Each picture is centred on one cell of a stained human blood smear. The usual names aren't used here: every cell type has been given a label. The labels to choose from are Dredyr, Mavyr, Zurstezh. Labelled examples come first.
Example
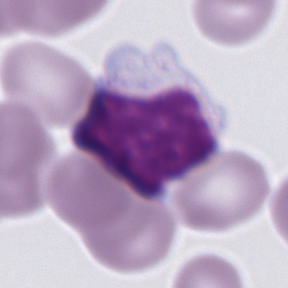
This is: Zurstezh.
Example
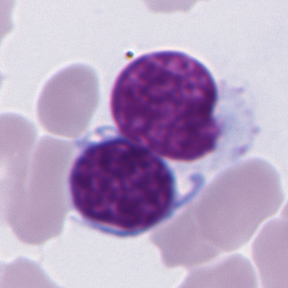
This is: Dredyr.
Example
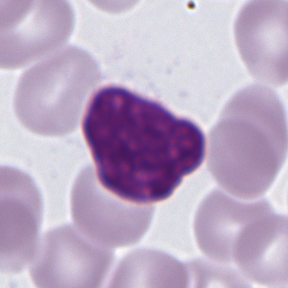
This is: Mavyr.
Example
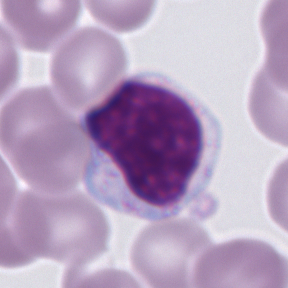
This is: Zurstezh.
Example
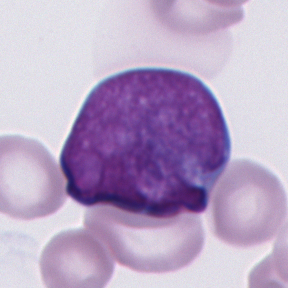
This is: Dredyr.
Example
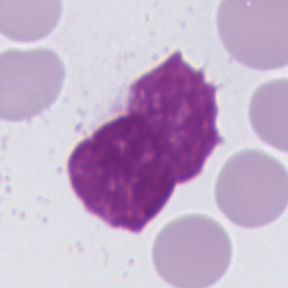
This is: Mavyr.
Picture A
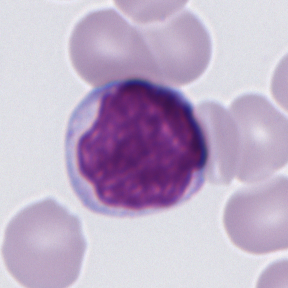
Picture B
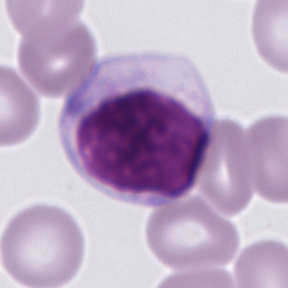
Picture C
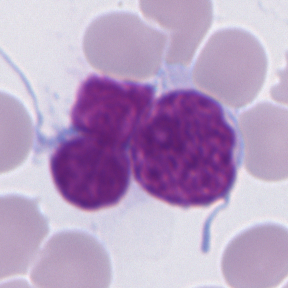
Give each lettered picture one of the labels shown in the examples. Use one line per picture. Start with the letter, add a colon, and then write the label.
A: Zurstezh.
B: Zurstezh.
C: Dredyr.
